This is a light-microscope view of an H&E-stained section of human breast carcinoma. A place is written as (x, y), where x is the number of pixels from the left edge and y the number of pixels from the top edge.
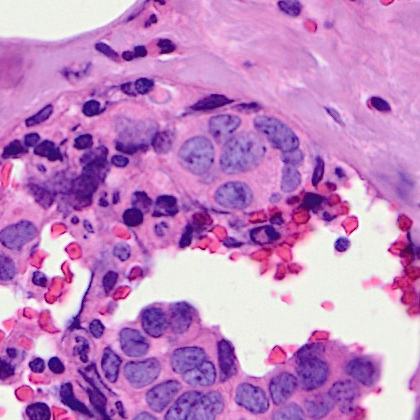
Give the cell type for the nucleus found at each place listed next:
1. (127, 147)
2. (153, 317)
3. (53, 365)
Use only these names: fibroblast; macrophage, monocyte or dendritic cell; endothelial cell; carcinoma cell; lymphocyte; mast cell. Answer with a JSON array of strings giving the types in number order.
["carcinoma cell", "carcinoma cell", "lymphocyte"]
